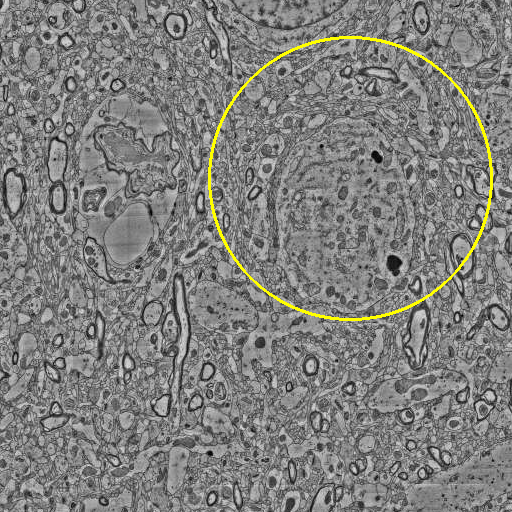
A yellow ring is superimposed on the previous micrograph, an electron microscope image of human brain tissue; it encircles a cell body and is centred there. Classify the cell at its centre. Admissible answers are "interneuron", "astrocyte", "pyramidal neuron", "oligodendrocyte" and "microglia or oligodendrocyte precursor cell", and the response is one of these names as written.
interneuron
